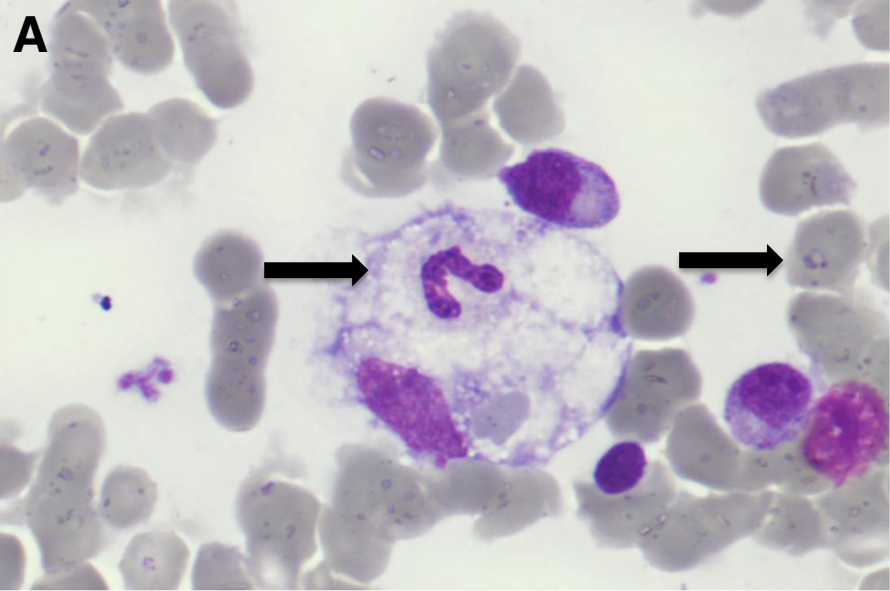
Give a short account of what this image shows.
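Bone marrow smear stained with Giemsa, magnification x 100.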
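The macrophage is round and much larger than its neighbours, with abundant pale, foamy, vacuolated cytoplasm and a faint lilac rim. Within its cytoplasm sits a curved, segmented, deep purple nucleus of the engulfed neutrophil, and at its lower edge lies an elongated, coarsely stained purple nucleus. Around it the red cells are crowded and greyish, several stacked together. To the right are small round cells with dense purple nuclei and a rim of cytoplasm, and one red cell at the right holds a tiny ring-shaped inclusion.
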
